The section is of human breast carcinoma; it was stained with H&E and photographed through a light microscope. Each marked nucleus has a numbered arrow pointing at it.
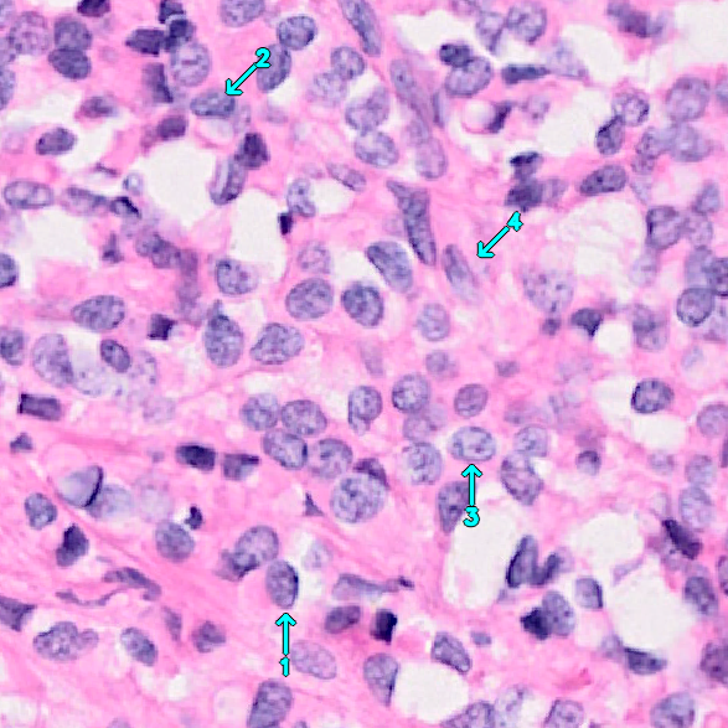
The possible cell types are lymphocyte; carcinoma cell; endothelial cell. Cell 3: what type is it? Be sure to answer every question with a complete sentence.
Heads up, the cell numbered 3 is a carcinoma cell.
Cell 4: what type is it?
Regarding cell 4, this one is an endothelial cell.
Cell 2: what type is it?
Cell 2 of the marked set is a carcinoma cell.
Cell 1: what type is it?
The cell carrying label 1 is identified as a carcinoma cell.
